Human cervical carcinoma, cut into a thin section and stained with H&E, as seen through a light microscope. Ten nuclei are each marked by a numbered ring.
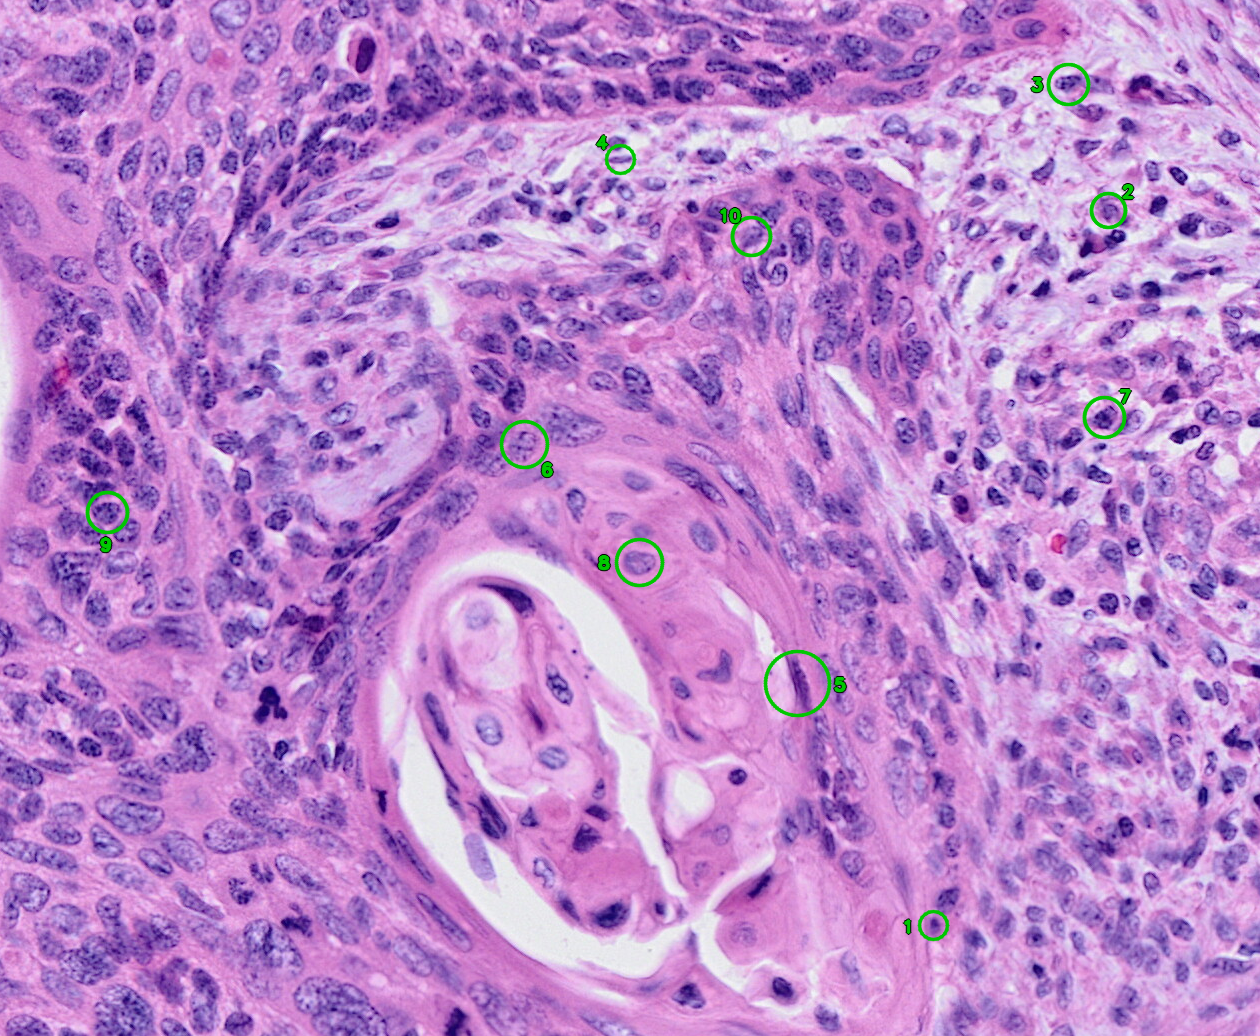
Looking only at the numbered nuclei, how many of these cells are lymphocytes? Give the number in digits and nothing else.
2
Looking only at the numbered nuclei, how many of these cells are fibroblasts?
1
